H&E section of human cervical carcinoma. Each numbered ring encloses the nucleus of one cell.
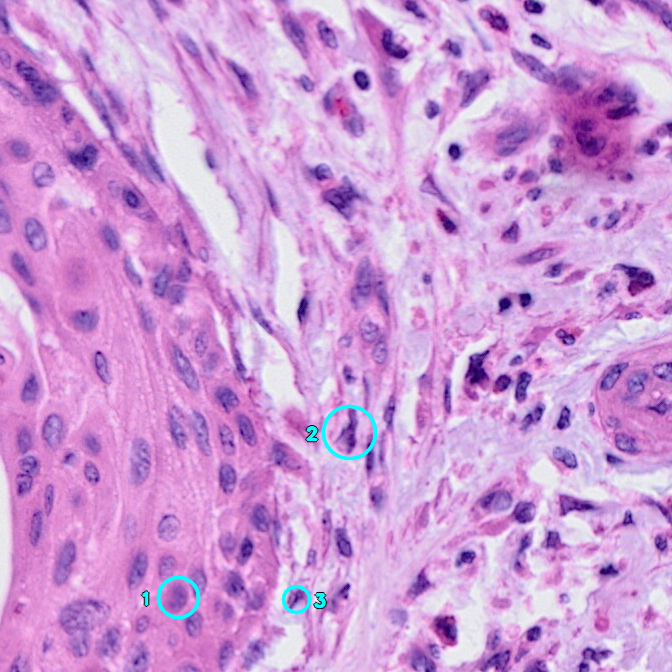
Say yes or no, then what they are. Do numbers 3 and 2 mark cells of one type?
Yes, both are fibroblasts.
